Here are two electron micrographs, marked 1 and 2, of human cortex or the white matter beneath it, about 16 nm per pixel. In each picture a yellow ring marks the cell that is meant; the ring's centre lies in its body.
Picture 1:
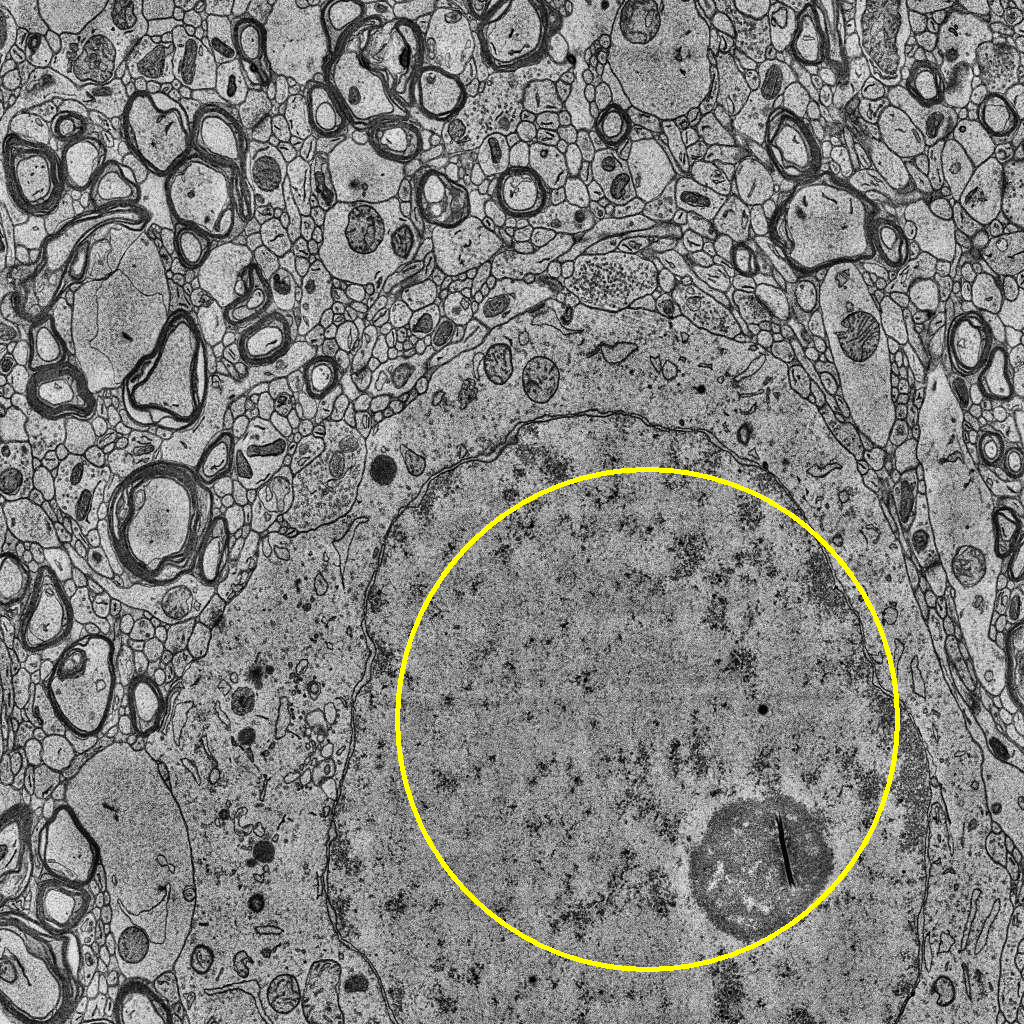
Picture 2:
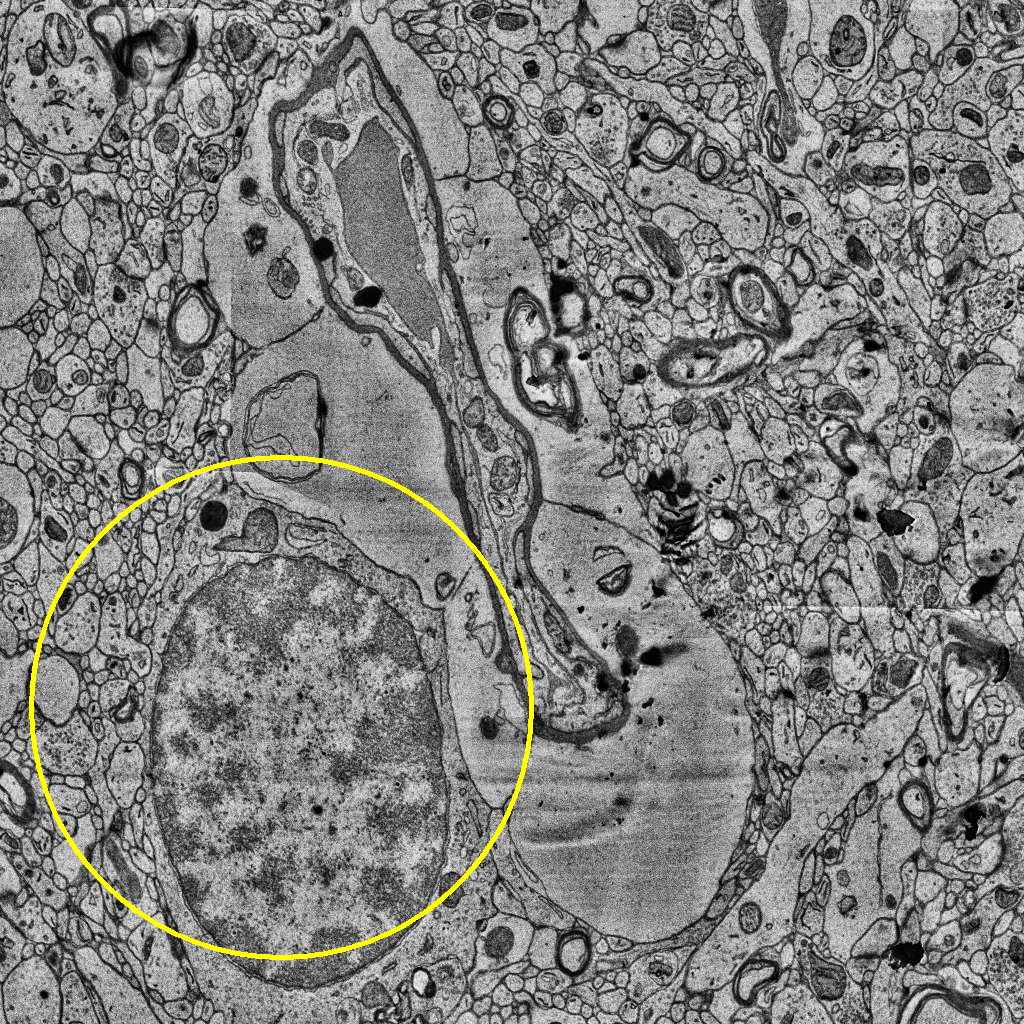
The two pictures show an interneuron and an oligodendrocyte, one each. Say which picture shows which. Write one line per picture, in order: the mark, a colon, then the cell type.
1: interneuron
2: oligodendrocyte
